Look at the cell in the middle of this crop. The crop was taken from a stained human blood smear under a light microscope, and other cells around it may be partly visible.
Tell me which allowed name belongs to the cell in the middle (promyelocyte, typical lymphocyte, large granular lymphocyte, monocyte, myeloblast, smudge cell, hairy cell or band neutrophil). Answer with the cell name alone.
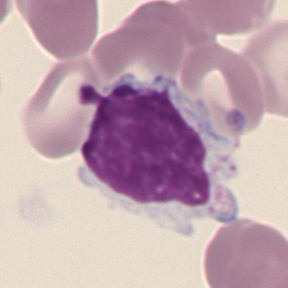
large granular lymphocyte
